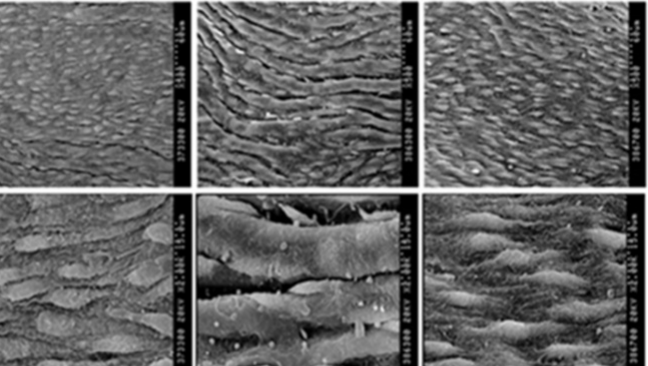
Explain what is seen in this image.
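In the left column the surface is covered by a continuous sheet of flattened, elongated cells with smooth, slightly raised central bulges, packed closely and aligned in one direction. In the middle column the surface appears rougher, with coarse, ridged, fibre-like folds, and at higher magnification it shows irregular raised bands with small particles scattered on them rather than a smooth cell sheet. In the right column the surface is again covered by many closely packed, spindle-shaped cells aligned in parallel, resembling the left column more than the middle one.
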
